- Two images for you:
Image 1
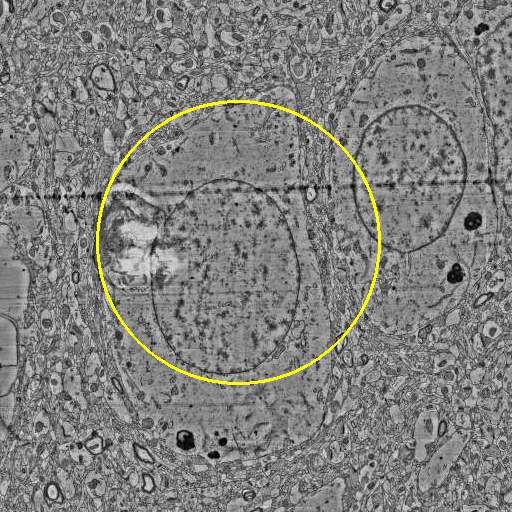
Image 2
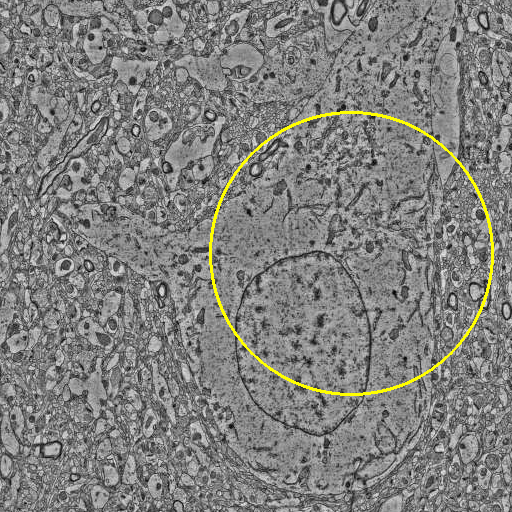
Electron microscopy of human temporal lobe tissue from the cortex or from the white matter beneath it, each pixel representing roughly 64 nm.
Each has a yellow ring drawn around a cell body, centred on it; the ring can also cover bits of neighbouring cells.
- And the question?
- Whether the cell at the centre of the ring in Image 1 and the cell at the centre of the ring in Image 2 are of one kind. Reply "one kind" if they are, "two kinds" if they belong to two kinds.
one kind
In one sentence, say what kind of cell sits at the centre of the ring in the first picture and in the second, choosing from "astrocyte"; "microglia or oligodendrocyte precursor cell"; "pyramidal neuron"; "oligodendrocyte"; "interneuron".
Each of the two cells is a pyramidal neuron.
